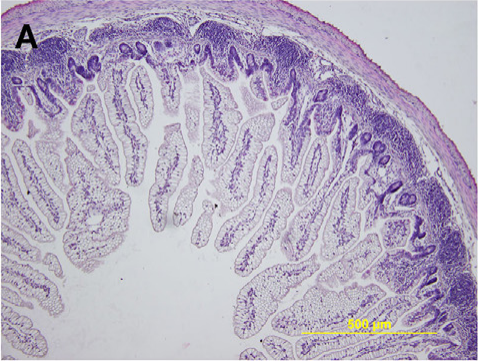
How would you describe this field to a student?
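This is a cross section through the wall of the small intestine, with many slender villi projecting from the wall into the central lumen. At the base of the villi, a purple band of crypts and cell-rich tissue runs along the wall. Outside this lies a thin pink muscular coat.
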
